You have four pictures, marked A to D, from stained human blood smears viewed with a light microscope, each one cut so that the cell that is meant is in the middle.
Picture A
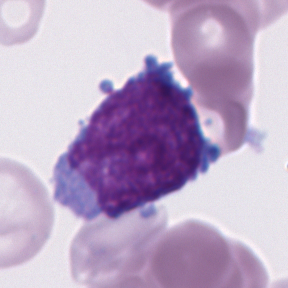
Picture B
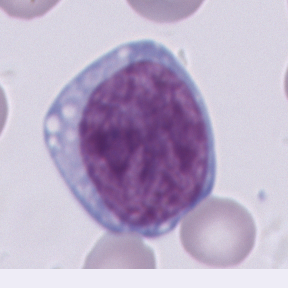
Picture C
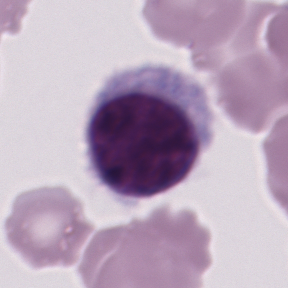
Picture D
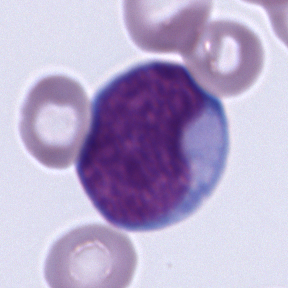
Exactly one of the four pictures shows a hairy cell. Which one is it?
C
